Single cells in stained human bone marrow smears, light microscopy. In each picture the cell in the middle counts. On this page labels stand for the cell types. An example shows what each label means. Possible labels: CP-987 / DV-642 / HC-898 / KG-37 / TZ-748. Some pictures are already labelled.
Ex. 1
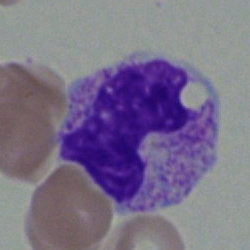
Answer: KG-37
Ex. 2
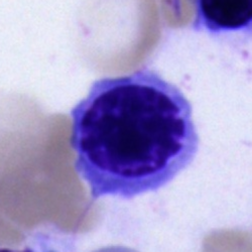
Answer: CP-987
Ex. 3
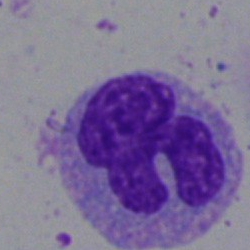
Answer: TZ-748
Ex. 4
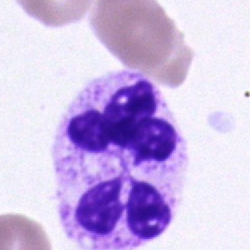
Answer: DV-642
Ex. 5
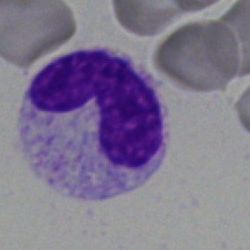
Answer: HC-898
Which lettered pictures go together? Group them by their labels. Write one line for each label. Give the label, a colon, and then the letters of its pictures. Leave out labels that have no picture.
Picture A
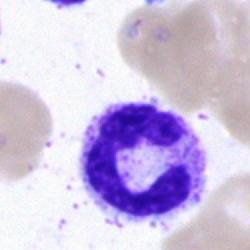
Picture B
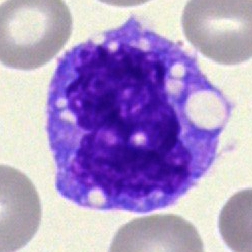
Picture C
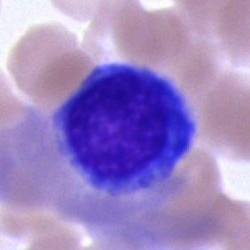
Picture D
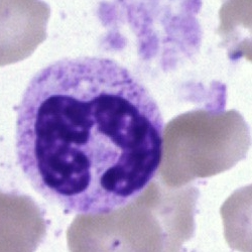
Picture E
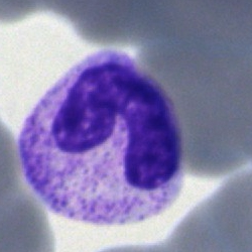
CP-987: C
DV-642: A, D
HC-898: E
TZ-748: B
